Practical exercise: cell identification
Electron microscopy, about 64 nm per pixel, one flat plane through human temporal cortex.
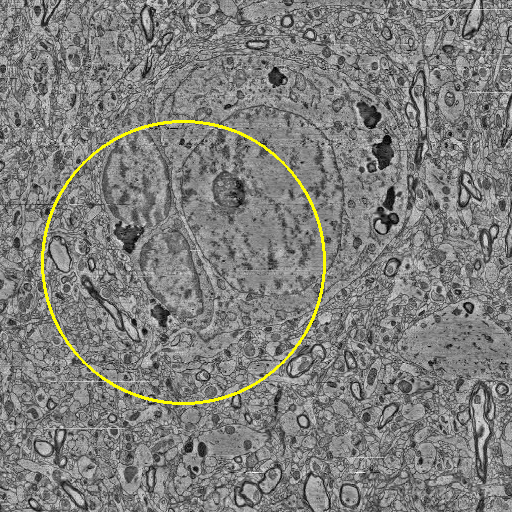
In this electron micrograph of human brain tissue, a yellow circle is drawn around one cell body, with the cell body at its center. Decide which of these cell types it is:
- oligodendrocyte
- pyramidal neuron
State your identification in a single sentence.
The ringed cell is an oligodendrocyte.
